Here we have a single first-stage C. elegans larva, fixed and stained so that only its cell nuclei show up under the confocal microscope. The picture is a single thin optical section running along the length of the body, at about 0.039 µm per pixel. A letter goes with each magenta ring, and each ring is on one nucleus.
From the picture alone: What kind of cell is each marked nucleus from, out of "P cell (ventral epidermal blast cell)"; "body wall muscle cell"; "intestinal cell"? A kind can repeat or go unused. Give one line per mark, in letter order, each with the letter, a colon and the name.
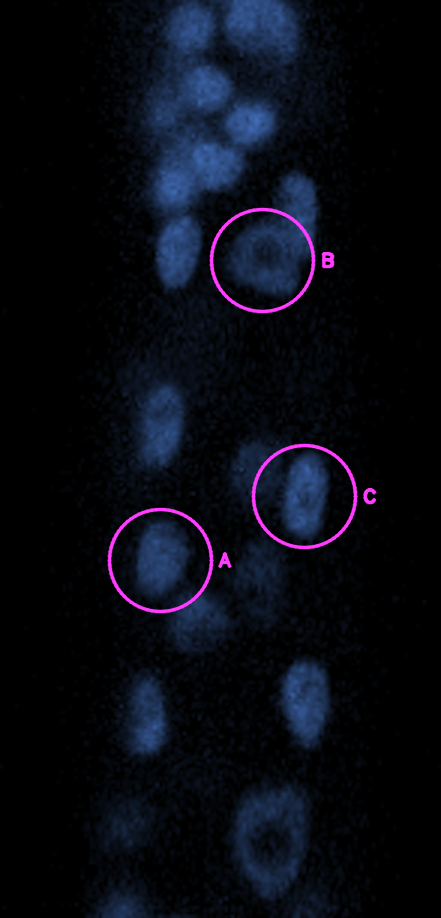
A: P cell (ventral epidermal blast cell)
B: intestinal cell
C: body wall muscle cell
